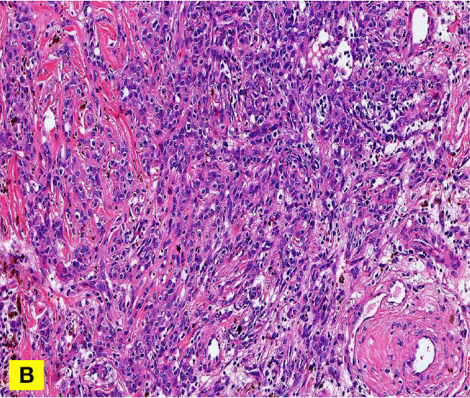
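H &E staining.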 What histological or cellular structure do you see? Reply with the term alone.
Solid area.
